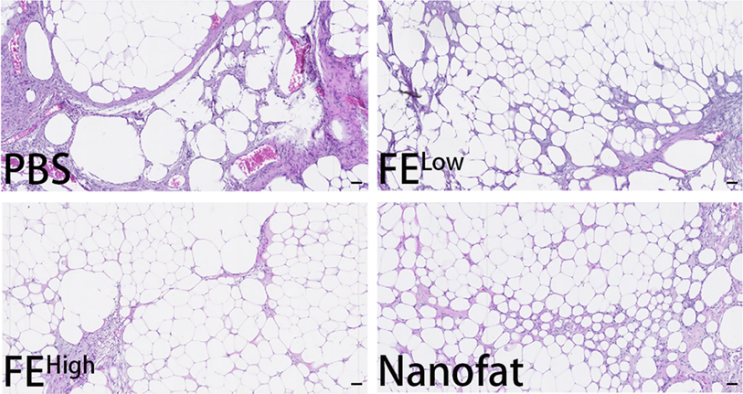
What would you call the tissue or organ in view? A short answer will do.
Fat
